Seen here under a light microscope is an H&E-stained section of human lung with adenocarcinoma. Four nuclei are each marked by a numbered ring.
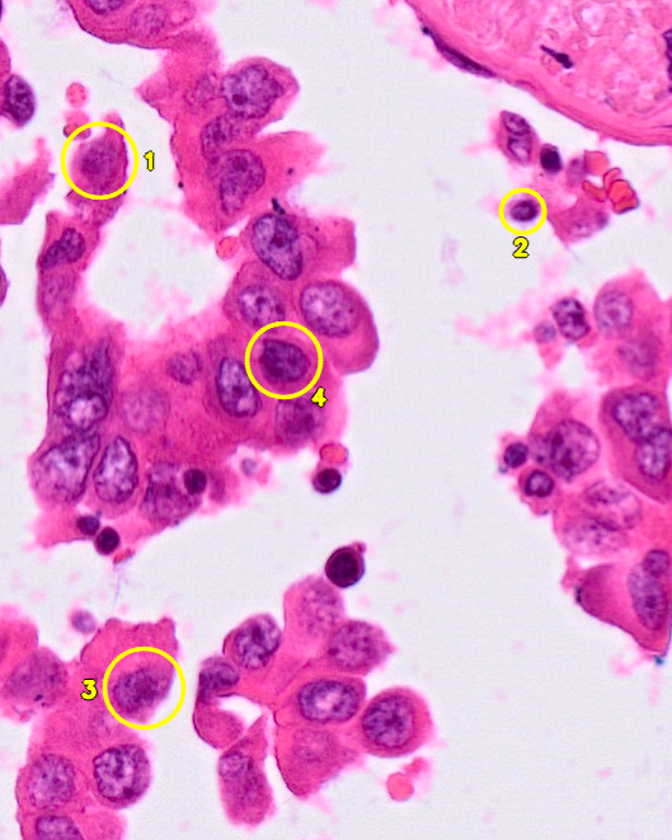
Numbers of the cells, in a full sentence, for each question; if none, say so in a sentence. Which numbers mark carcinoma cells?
Identified as carcinoma cells are the cells numbered 1, 3 and 4.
